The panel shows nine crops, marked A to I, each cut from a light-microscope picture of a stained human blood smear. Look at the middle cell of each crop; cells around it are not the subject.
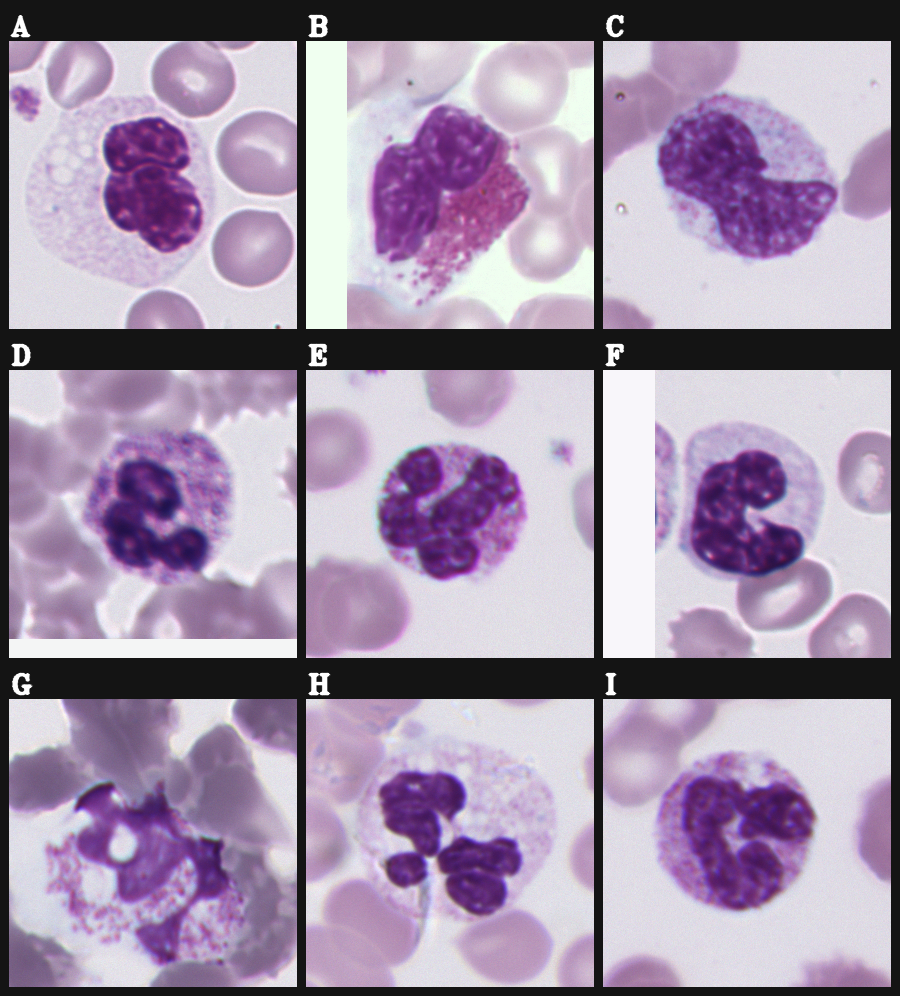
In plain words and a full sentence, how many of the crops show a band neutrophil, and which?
Of the crops given, two contain band neutrophils, and these are C and F.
